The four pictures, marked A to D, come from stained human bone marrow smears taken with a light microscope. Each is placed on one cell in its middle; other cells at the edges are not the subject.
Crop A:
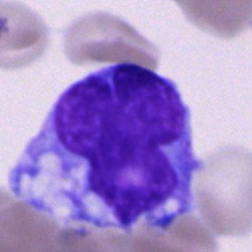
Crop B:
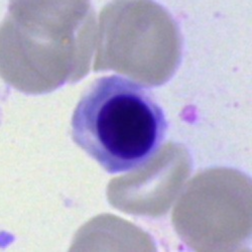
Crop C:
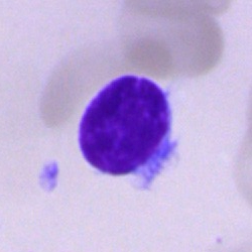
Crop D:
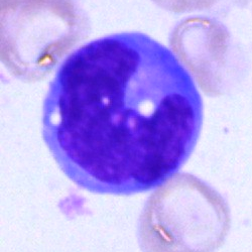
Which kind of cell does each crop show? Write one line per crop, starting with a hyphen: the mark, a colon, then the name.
- A: monocyte
- B: erythroblast
- C: lymphocyte
- D: monocyte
